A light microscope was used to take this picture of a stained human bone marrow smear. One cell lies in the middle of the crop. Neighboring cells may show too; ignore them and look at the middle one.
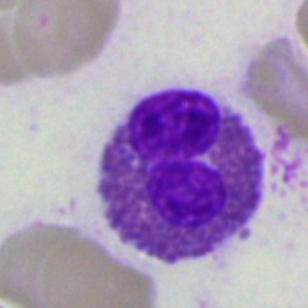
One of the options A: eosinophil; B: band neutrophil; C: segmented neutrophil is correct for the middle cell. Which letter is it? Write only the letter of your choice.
A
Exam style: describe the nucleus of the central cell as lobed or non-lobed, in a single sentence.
The nucleus is segmented, with two or more lobes present.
